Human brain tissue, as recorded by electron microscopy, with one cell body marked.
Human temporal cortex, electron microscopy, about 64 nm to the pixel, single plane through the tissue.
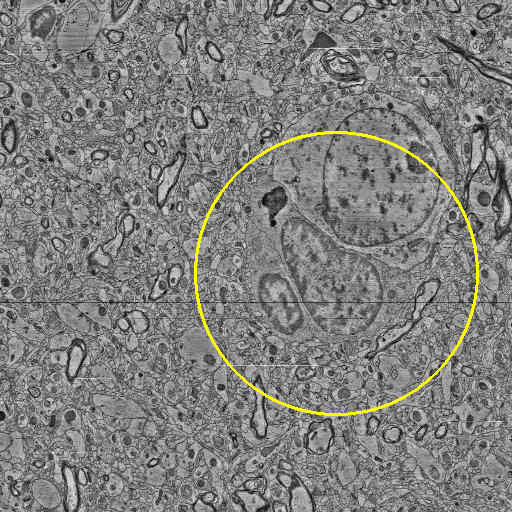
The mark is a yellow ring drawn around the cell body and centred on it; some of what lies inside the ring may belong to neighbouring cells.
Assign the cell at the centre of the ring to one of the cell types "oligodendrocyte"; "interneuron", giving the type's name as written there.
oligodendrocyte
